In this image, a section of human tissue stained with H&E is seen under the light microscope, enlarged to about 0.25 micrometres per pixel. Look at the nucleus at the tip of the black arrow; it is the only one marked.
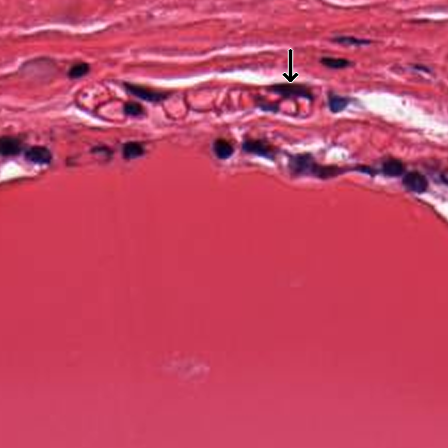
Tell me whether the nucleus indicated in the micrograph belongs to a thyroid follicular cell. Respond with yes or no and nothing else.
no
